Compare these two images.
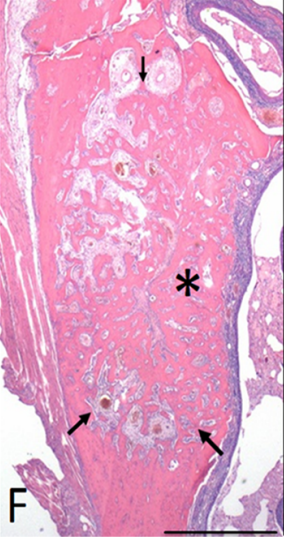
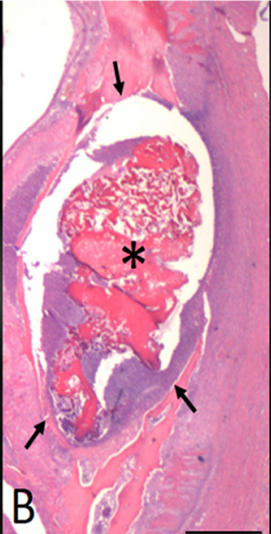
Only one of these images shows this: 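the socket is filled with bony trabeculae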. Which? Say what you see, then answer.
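First image: the cavity is filled with a network of pink bony struts. Second image: the cavity holds loose red fragmented material separated by white clefts, without a bony network.
Hence: the first image.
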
